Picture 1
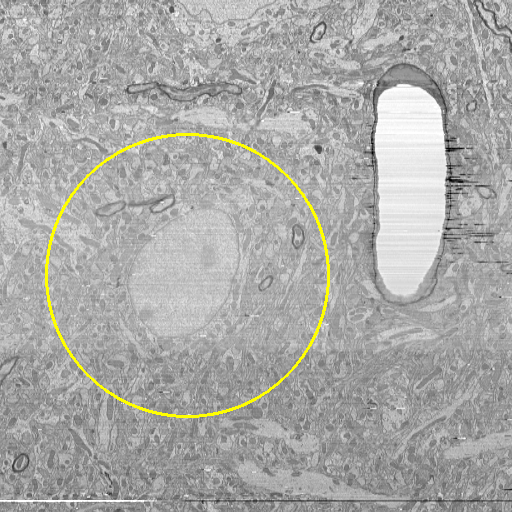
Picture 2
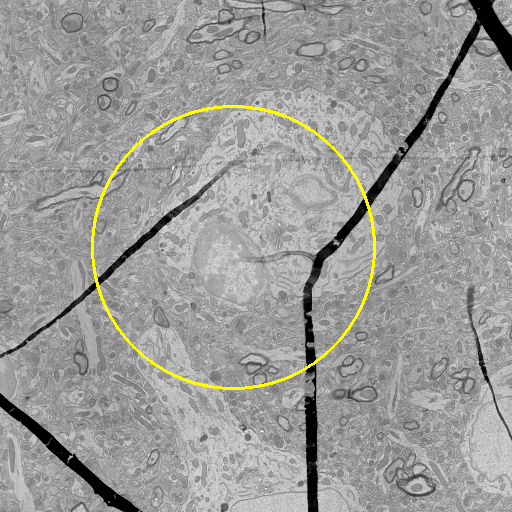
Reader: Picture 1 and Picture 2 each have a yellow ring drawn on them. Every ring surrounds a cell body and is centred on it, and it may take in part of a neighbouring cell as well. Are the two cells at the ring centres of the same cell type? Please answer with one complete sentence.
No, the cells are of two cell types.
